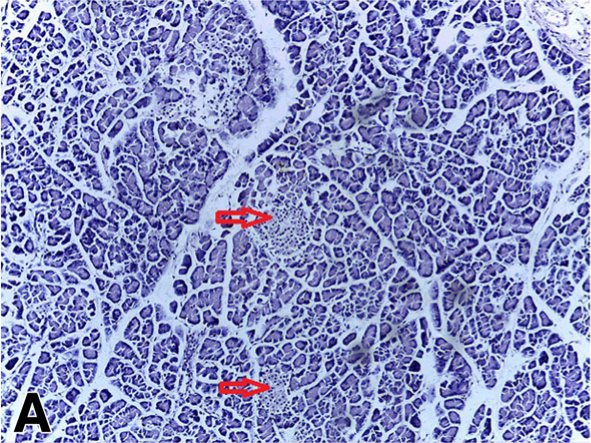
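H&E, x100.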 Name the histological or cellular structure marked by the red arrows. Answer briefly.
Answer: Islet of Langerhans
